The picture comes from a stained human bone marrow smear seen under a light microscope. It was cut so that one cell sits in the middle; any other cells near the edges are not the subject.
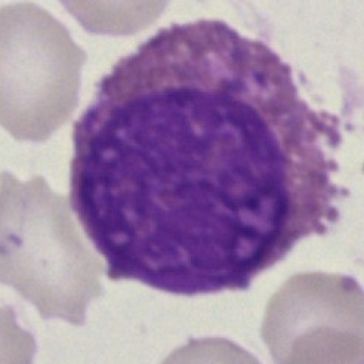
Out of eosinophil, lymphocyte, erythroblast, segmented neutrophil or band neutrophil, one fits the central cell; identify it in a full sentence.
The cell at the middle of the crop is recognized as an eosinophil.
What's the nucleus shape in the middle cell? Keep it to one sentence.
The nucleus holds together as a single compact mass, round, oval or kidney-like.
